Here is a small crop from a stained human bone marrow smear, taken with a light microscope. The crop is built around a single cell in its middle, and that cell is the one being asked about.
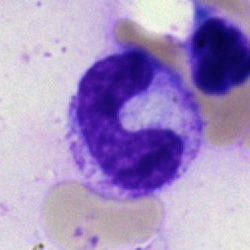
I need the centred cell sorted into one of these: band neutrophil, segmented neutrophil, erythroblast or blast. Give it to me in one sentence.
At the center of the crop sits a band neutrophil.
